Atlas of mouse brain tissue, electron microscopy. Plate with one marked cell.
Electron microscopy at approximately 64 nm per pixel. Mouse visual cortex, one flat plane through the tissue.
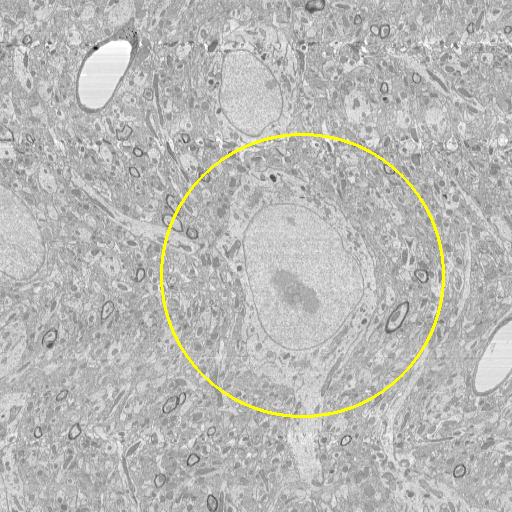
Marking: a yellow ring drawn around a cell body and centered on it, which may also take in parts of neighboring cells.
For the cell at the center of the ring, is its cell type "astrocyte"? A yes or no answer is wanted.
No, its cell type is another one.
